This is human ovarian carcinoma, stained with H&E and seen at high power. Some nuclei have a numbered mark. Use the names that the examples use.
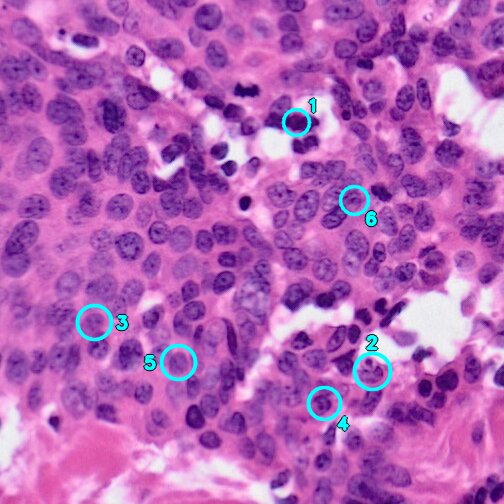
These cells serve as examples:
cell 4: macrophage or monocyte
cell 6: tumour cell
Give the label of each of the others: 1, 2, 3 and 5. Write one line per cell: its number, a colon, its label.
1: tumour cell
2: macrophage or monocyte
3: tumour cell
5: tumour cell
